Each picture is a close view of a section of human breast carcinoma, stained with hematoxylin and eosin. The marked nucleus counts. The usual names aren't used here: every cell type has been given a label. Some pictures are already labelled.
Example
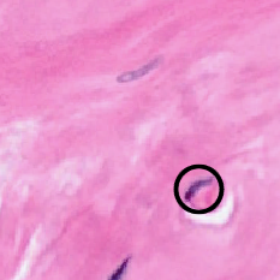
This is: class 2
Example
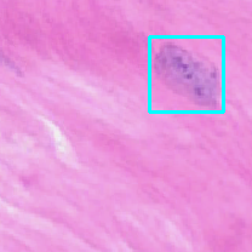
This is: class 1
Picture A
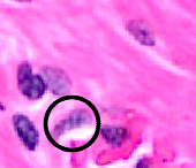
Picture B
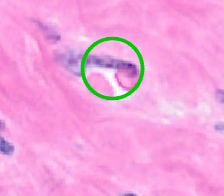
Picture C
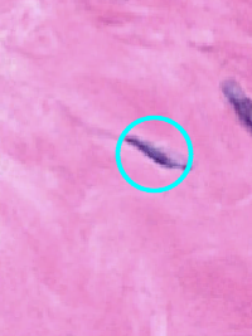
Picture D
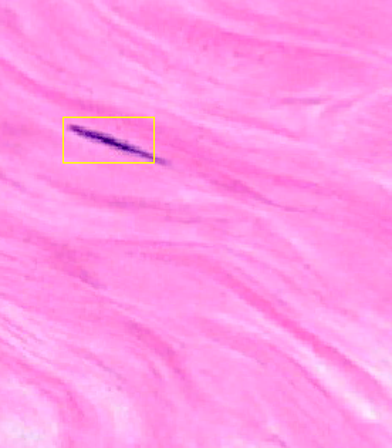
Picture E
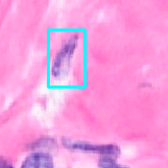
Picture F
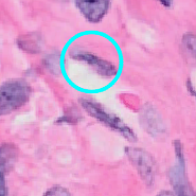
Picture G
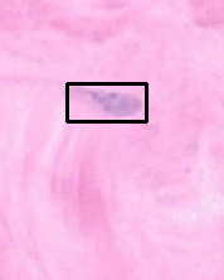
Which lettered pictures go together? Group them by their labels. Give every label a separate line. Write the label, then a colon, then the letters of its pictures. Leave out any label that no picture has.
class 2: A, B, F
class 1: C, D, E, G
